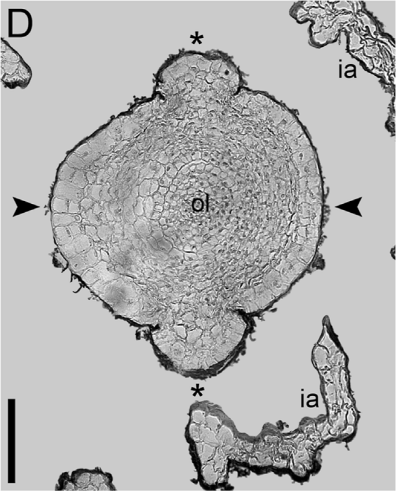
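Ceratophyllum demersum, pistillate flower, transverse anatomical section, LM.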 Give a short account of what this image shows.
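Here the gynoecium is cut through its unilocular part: a rounded body of thin-walled cells with a single central region around which the cells are arranged in rough concentric rings. The outermost cells are larger and more box-like, forming a distinct surface layer with a dark outer line. Two rounded bulges of cells project from opposite sides, one at the top and one at the bottom. Separate strips of tissue made of larger cells with dark margins lie nearby, outside the body.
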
